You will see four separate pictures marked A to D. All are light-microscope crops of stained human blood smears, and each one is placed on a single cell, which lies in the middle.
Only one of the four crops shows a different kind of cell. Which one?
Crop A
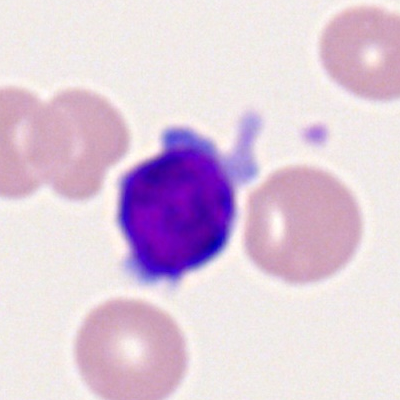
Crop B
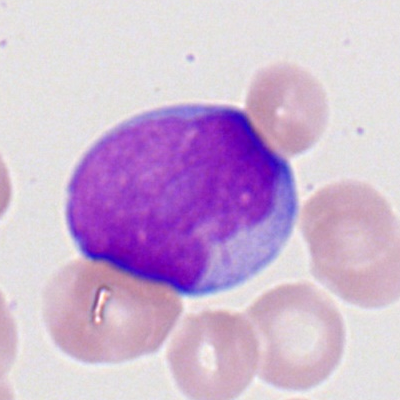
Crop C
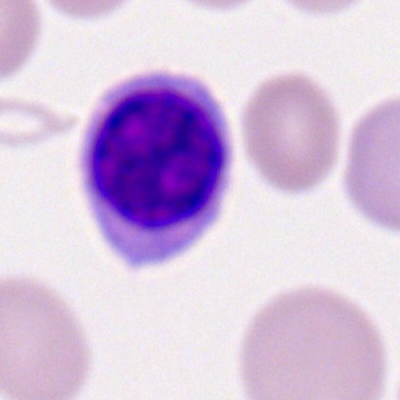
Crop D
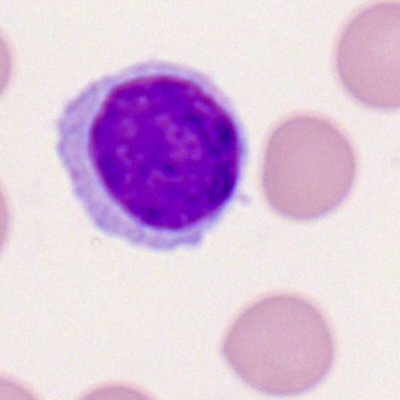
B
